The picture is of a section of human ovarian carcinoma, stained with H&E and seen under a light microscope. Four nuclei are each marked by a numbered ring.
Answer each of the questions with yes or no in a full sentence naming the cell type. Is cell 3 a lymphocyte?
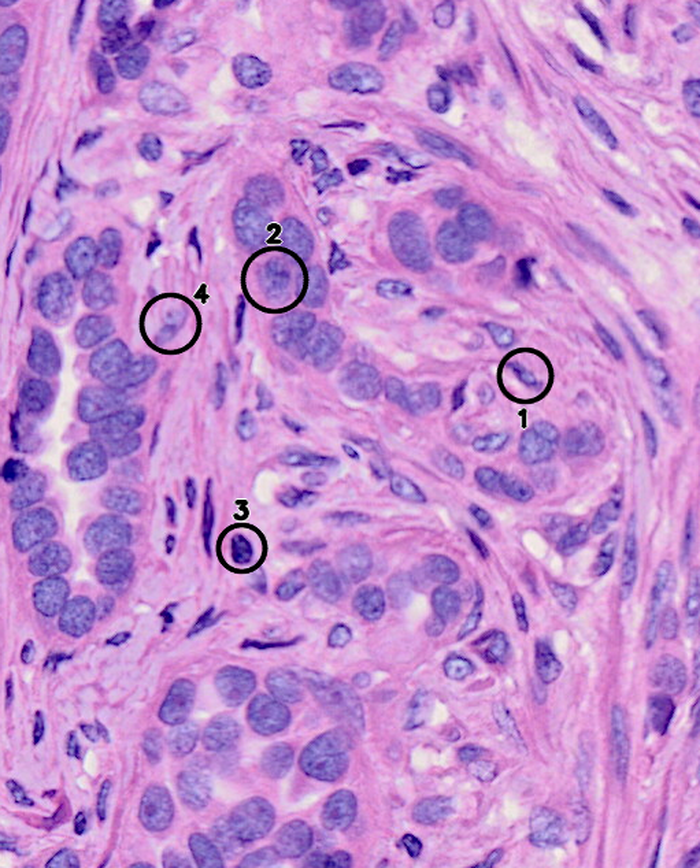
Yes, the cell referred to as number 3 is a lymphocyte.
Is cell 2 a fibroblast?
No, the cell bearing number 2 is not a fibroblast but a carcinoma cell.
